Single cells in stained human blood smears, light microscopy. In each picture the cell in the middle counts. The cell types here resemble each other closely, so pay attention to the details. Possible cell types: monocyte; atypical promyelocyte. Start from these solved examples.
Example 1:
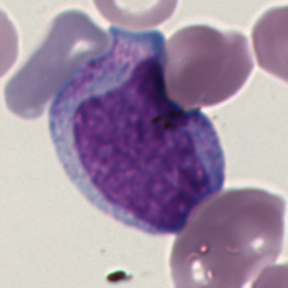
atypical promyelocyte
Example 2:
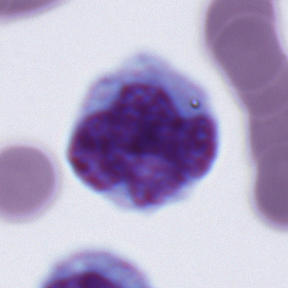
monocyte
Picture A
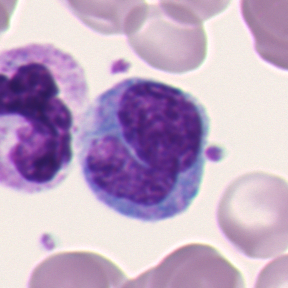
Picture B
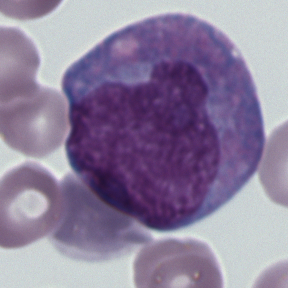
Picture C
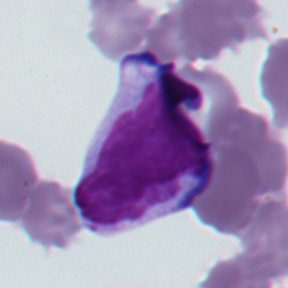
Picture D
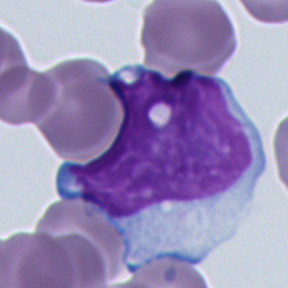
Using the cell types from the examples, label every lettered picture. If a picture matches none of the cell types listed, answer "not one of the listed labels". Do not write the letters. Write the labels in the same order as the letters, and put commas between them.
monocyte, atypical promyelocyte, not one of the listed labels, not one of the listed labels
